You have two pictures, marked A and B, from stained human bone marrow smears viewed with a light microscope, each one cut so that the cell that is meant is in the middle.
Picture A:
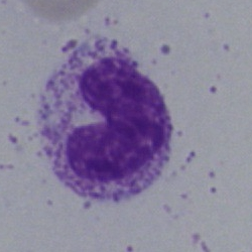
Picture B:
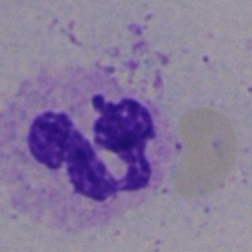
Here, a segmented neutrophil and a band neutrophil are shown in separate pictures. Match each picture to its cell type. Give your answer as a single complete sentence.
Picture A shows a band neutrophil and picture B shows a segmented neutrophil.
